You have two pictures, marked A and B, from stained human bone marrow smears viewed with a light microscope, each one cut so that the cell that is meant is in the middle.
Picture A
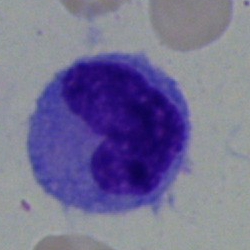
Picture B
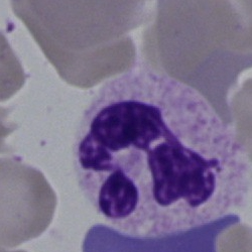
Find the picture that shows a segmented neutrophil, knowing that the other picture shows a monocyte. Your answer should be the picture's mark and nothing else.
B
